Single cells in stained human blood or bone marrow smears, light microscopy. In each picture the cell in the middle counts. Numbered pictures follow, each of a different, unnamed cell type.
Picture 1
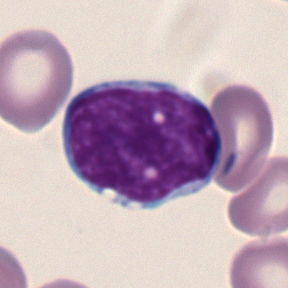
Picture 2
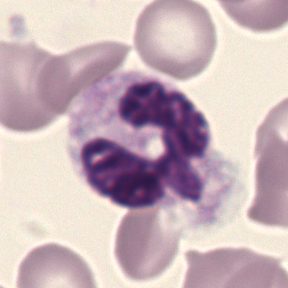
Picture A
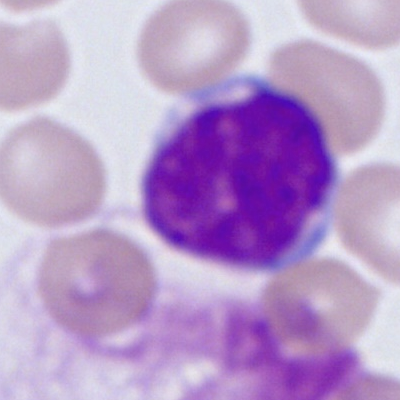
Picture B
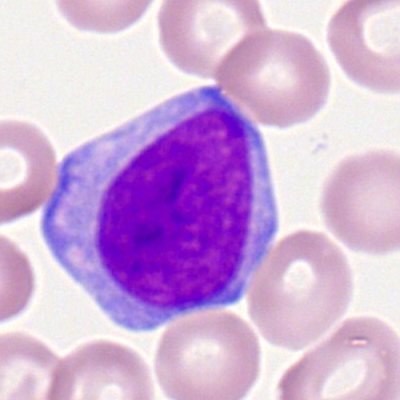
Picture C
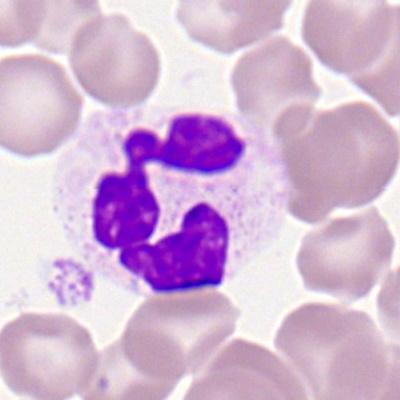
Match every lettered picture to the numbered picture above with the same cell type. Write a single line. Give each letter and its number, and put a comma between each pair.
A 1, B 1, C 2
